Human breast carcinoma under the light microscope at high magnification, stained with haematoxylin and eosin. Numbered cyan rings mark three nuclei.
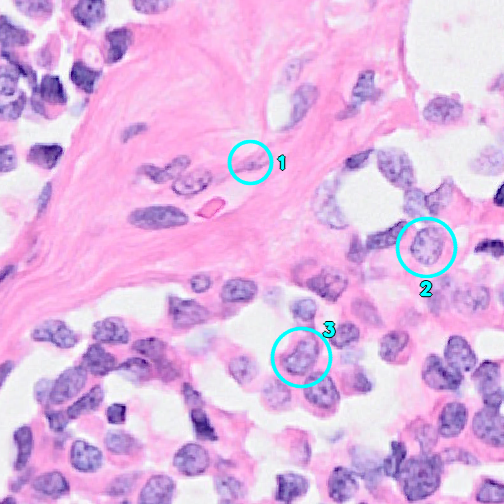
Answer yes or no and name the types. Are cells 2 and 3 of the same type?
Yes, both of cells 2 and 3 are carcinoma cells.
